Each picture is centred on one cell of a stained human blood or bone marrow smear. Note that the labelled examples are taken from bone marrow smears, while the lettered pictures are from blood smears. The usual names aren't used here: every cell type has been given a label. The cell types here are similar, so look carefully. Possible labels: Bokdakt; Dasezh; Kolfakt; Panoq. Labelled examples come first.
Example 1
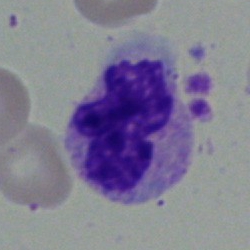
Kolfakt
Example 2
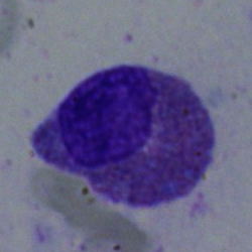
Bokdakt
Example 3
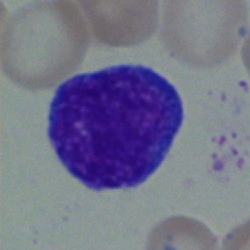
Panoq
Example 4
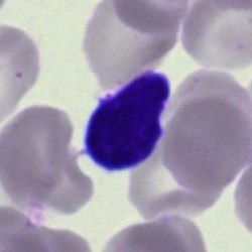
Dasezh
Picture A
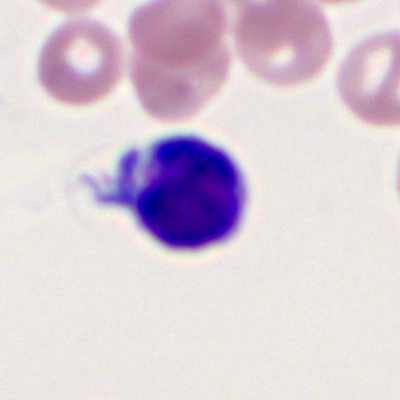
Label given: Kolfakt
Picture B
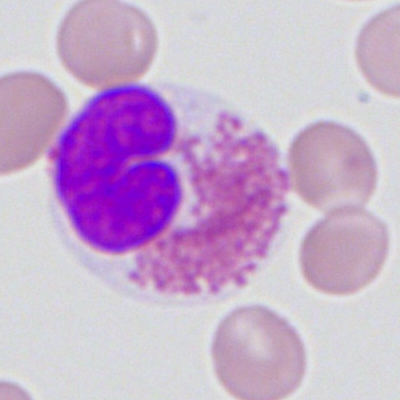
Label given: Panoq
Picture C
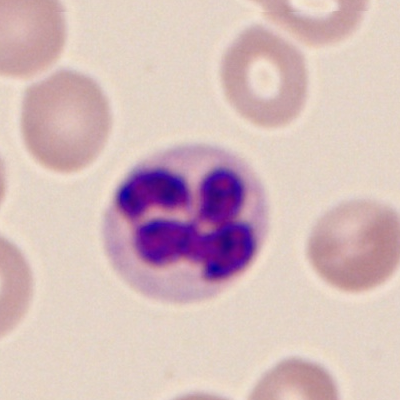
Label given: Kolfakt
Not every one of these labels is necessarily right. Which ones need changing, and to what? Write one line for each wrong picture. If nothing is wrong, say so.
A is labelled Kolfakt; correct label: Dasezh
B is labelled Panoq; correct label: Bokdakt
